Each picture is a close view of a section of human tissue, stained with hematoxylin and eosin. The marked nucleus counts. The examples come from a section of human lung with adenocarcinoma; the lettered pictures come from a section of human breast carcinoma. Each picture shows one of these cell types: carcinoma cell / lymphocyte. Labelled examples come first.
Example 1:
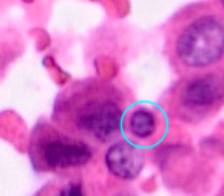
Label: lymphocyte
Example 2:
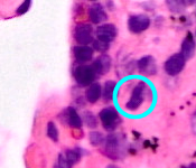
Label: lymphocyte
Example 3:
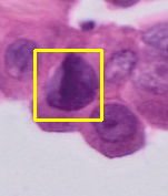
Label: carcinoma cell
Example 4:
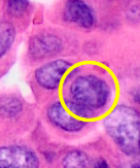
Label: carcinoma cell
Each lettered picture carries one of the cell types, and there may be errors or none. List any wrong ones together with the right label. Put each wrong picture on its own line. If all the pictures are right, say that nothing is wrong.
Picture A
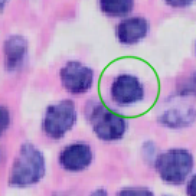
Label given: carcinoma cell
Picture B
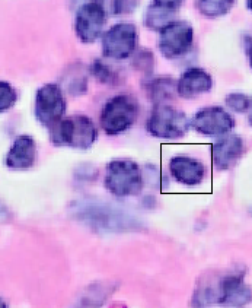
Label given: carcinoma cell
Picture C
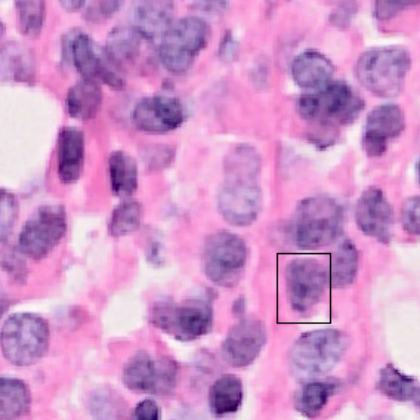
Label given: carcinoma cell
A: lymphocyte, not carcinoma cell
B: lymphocyte, not carcinoma cell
